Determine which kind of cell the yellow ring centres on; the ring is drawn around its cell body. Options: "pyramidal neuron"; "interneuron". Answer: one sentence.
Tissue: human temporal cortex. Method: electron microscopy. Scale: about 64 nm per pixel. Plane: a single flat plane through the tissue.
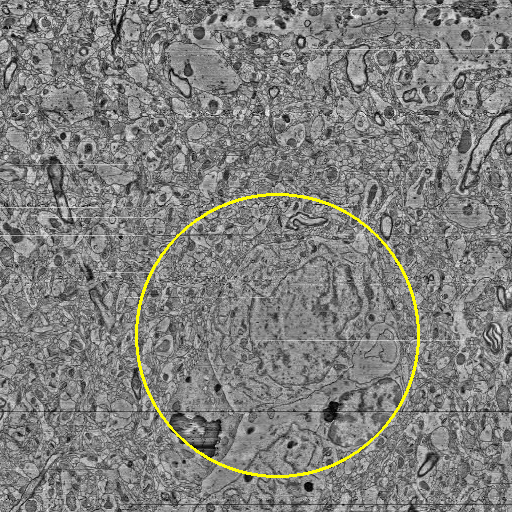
The ring centres on an interneuron.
